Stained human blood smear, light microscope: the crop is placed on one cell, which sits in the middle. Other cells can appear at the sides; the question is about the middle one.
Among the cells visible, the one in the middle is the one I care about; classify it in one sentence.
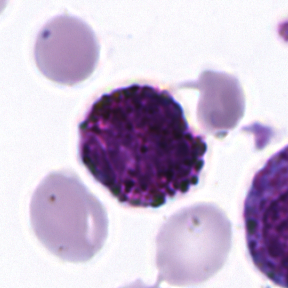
In short, the cell at the center is a basophil.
